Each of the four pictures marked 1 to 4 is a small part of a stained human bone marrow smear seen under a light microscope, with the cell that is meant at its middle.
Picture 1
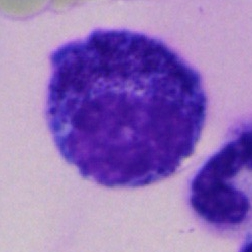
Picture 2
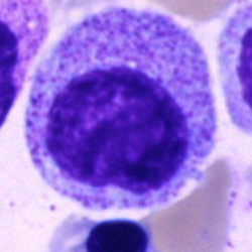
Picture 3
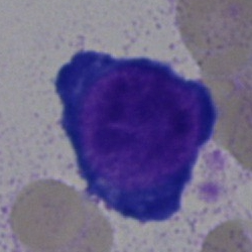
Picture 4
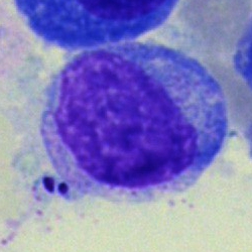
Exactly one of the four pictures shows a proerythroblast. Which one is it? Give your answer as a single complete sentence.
Picture 3 is the one that shows the proerythroblast.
